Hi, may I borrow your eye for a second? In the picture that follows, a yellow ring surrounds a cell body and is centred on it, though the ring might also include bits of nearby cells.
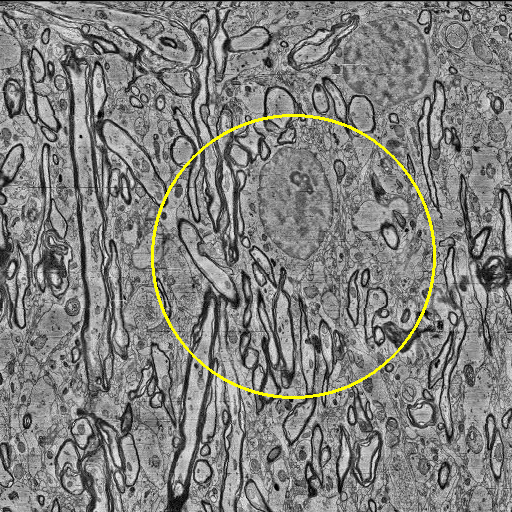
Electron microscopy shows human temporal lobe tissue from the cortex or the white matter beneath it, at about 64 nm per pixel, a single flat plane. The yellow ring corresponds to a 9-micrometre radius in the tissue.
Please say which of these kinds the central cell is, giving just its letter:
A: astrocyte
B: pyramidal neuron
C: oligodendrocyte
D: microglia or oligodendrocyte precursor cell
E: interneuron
C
